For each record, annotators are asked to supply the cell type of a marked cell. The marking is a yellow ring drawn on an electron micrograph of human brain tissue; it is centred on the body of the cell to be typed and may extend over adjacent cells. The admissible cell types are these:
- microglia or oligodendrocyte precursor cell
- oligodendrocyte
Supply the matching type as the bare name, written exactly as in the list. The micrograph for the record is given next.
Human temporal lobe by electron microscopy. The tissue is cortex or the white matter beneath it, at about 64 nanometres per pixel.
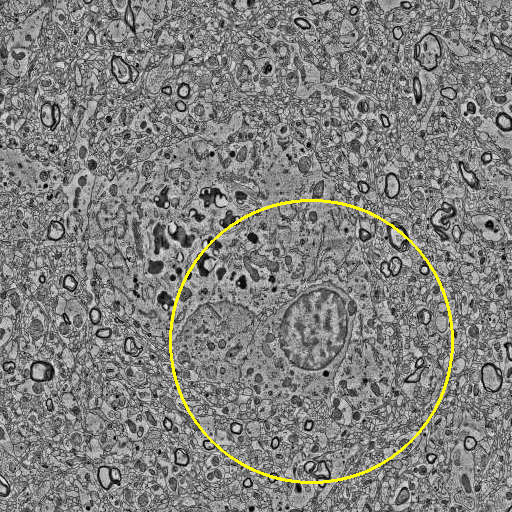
oligodendrocyte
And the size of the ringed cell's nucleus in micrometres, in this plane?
The nucleus is approximately 5 micrometers long by 4 micrometers wide in this plane.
